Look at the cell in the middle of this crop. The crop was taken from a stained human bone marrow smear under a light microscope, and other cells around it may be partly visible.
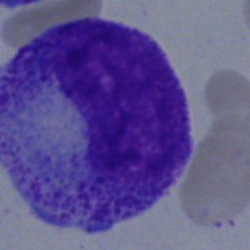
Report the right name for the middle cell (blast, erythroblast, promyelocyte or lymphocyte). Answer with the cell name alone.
promyelocyte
